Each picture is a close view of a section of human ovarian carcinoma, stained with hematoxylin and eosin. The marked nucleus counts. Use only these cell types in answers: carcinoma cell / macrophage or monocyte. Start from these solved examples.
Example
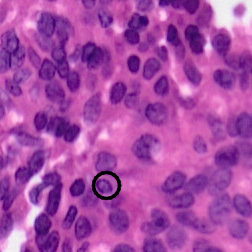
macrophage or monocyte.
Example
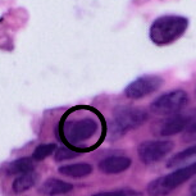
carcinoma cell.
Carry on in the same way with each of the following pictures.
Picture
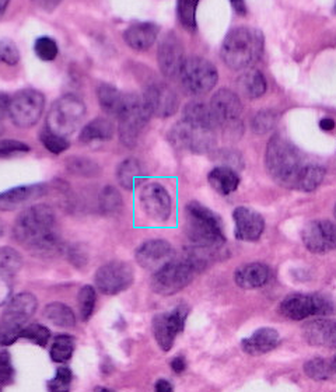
macrophage or monocyte.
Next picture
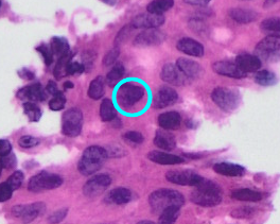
carcinoma cell.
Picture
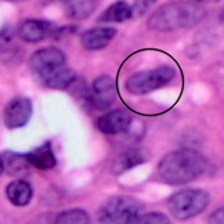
macrophage or monocyte.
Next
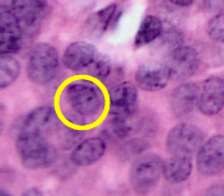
carcinoma cell.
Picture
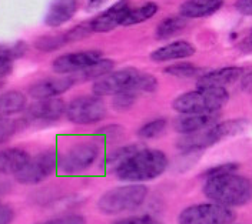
carcinoma cell.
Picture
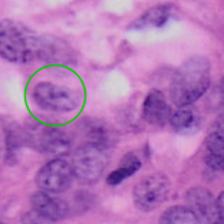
macrophage or monocyte.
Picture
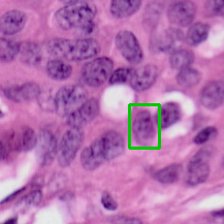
carcinoma cell.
